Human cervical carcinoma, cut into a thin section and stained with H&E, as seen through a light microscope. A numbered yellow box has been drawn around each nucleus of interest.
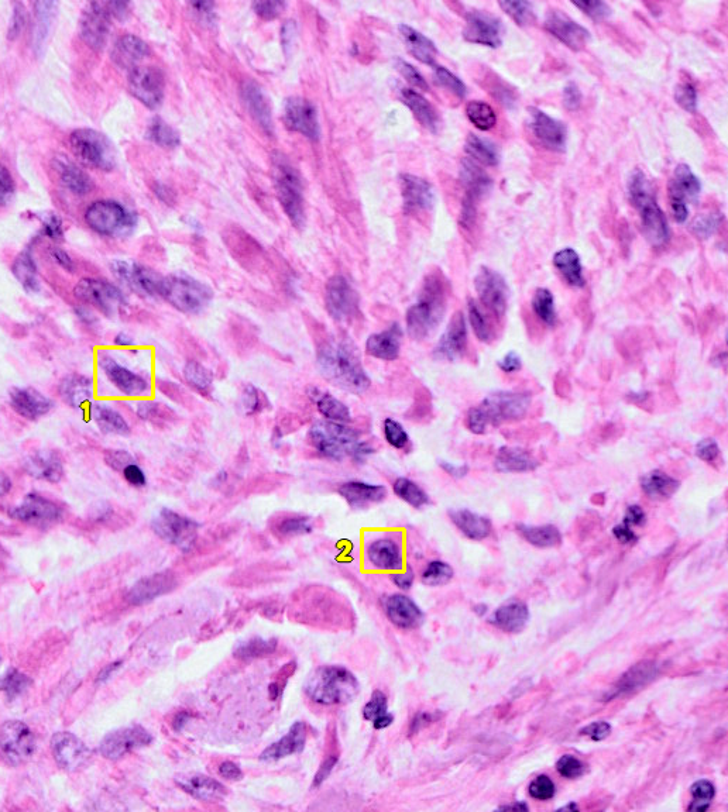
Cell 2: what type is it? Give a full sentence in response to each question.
The one numbered 2 among the marked cells is a macrophage or monocyte.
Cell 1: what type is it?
Cell 1, as marked in the section, is a fibroblast.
